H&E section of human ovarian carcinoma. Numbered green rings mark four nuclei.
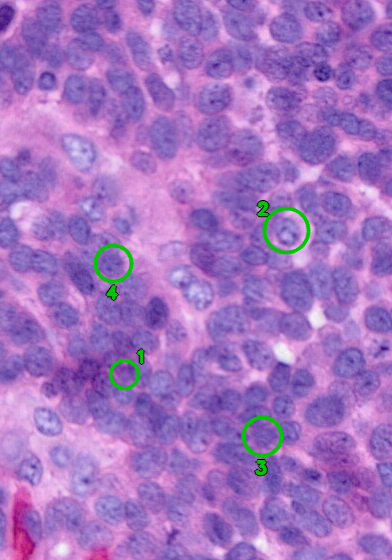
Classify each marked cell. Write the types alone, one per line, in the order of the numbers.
carcinoma cell
macrophage or monocyte
carcinoma cell
carcinoma cell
